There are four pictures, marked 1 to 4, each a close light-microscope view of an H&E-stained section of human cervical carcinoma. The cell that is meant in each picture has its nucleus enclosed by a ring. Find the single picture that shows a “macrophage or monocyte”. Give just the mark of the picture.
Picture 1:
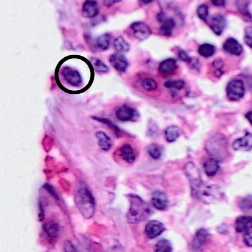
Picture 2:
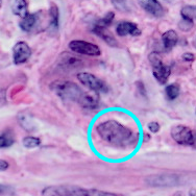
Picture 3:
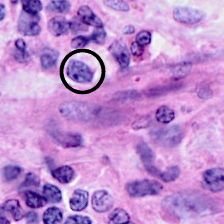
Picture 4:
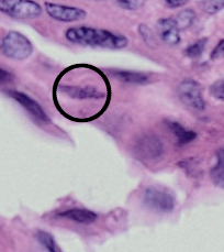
2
